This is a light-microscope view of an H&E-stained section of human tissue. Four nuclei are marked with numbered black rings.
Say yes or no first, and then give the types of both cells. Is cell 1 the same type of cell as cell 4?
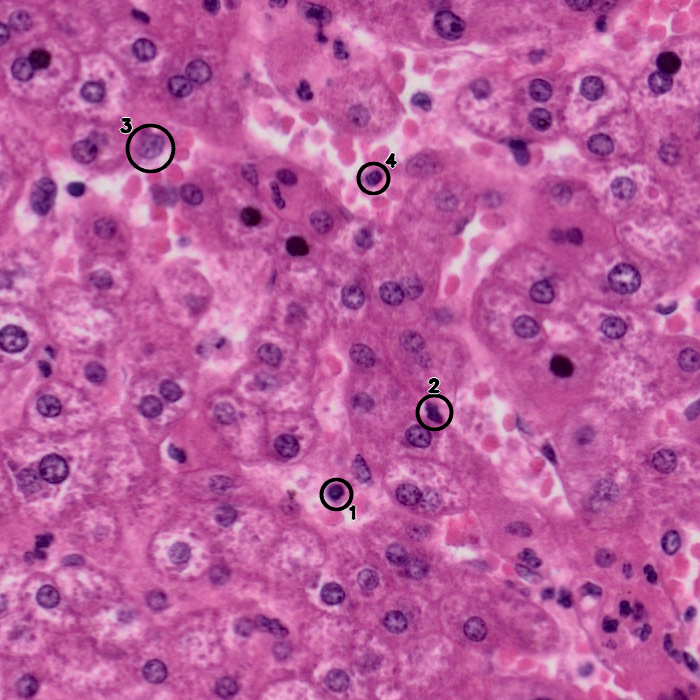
Yes, it is as lymphocytes that cells 1 and 4 are both classified.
